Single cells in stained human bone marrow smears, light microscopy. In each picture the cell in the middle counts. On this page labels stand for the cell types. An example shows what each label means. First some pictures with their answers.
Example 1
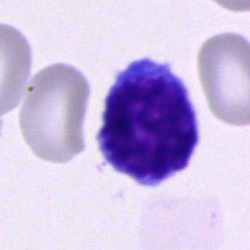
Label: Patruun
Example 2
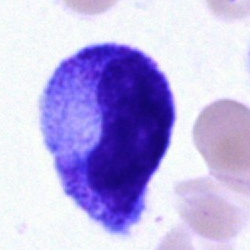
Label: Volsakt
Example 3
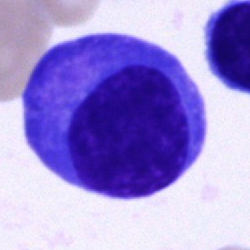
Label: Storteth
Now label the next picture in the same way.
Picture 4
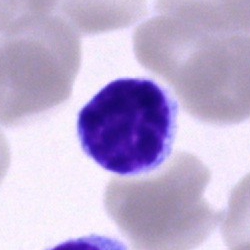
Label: Patruun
